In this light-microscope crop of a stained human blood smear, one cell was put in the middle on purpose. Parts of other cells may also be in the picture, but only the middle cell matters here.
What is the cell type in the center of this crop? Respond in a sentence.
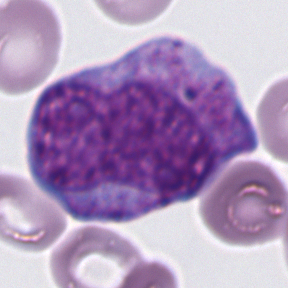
The cell sitting right in the middle is an atypical promyelocyte.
